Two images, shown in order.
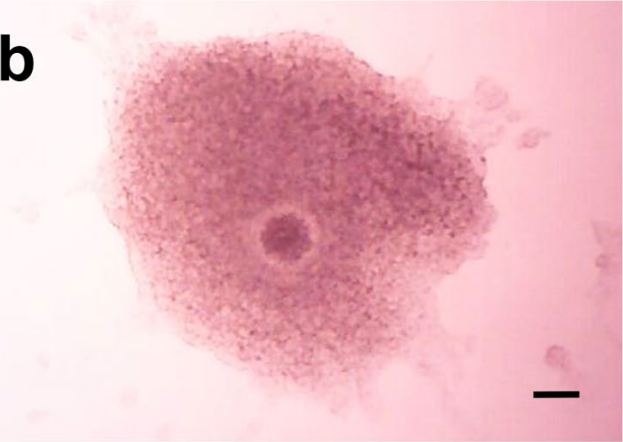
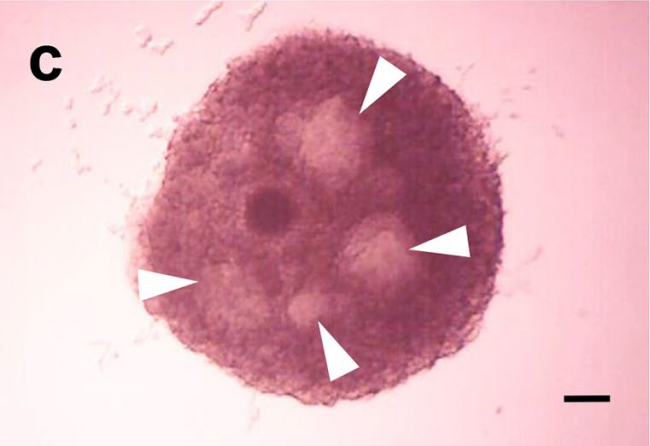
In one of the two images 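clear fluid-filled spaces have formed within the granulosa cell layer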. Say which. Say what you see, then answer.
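First image: the granulosa cell mass around the oocyte is evenly granular with no clear spaces. Second image: several pale rounded cavities lie within the dark granulosa cell mass. The answer: the second image.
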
